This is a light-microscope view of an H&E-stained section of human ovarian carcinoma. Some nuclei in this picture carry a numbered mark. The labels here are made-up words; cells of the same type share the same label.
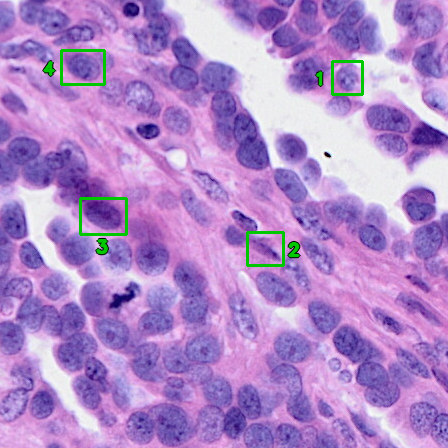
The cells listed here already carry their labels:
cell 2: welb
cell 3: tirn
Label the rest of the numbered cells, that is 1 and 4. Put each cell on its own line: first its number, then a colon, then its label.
1: tirn
4: tirn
